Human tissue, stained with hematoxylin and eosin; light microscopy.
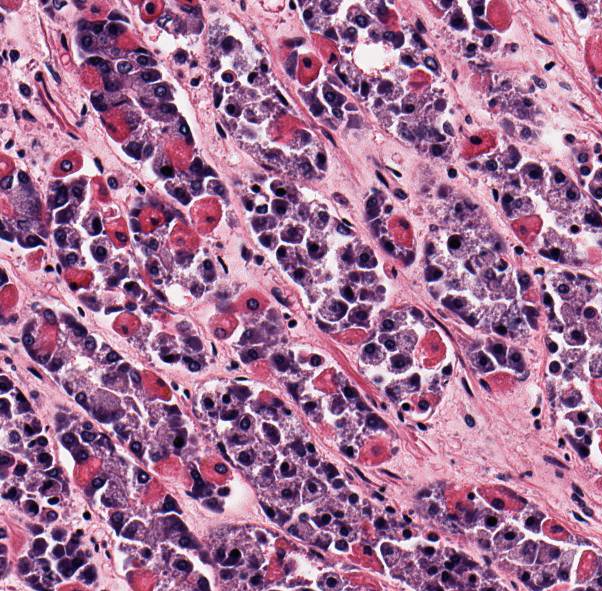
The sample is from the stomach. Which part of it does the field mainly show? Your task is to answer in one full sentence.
This histology image has as its subject the part called fundic glands.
